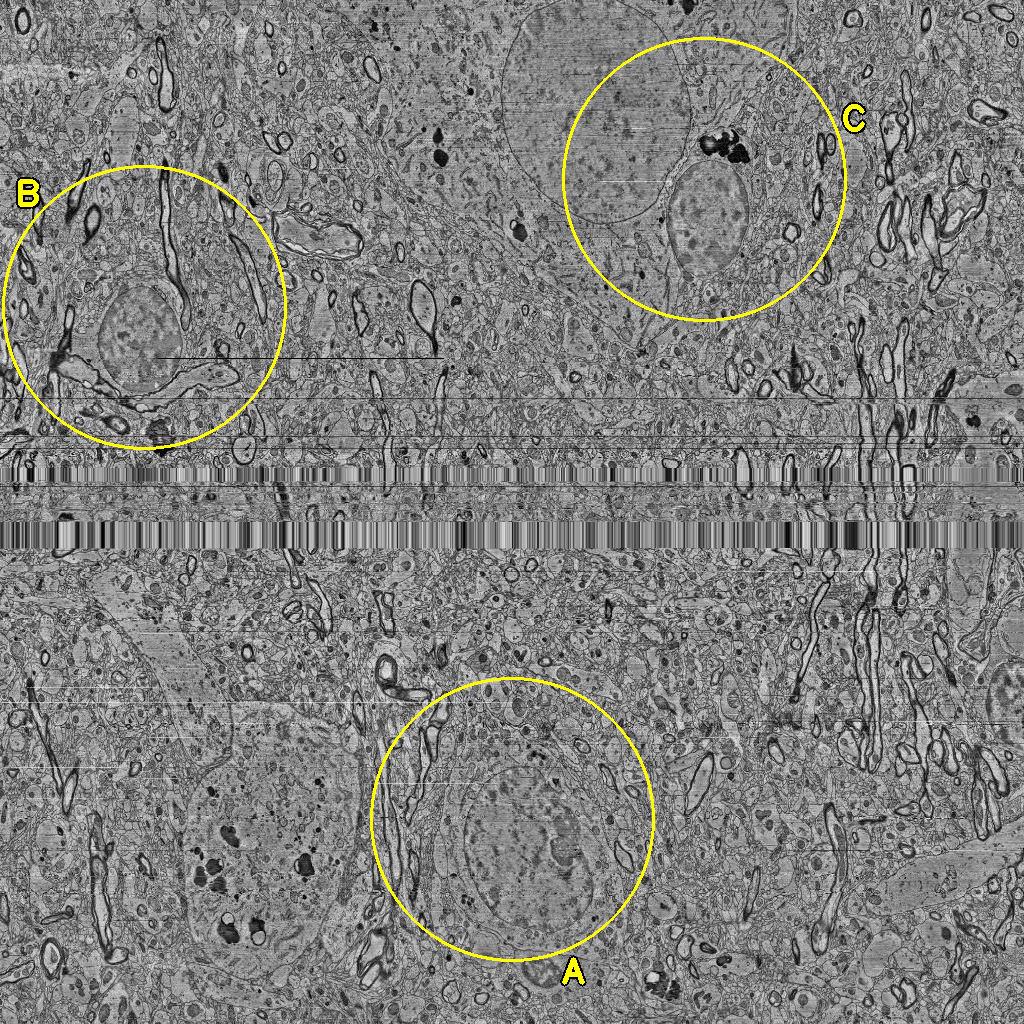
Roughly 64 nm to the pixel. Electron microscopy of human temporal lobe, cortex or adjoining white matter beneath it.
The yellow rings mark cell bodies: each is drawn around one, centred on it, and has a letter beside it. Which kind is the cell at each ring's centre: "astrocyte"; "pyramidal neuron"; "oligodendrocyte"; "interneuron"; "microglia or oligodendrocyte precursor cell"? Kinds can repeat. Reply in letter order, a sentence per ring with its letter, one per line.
At the centre of ring A lies an interneuron.
At the centre of ring B lies an oligodendrocyte.
At the centre of ring C lies an oligodendrocyte.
